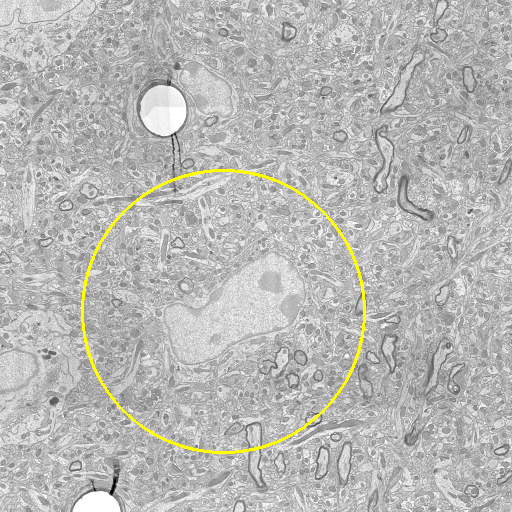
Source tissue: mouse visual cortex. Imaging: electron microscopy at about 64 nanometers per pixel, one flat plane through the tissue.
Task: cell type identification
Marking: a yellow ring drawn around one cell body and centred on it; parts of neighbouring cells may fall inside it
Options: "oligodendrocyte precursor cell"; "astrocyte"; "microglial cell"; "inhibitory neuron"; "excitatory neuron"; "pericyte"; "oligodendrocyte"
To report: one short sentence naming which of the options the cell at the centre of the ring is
The cell at the centre of the ring is an oligodendrocyte precursor cell.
